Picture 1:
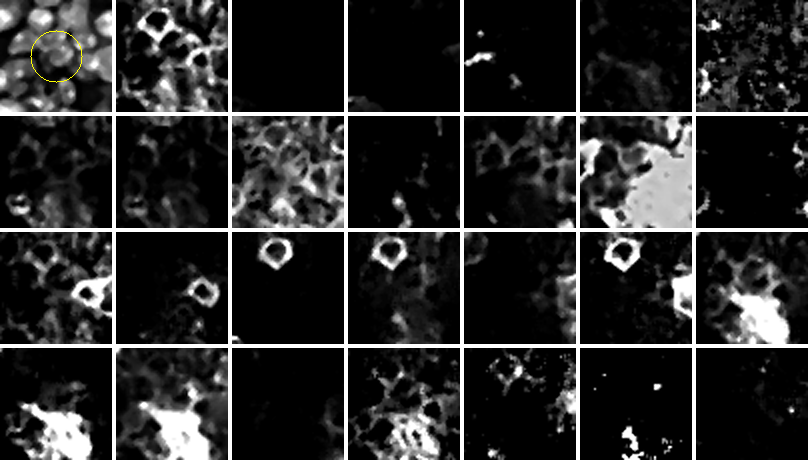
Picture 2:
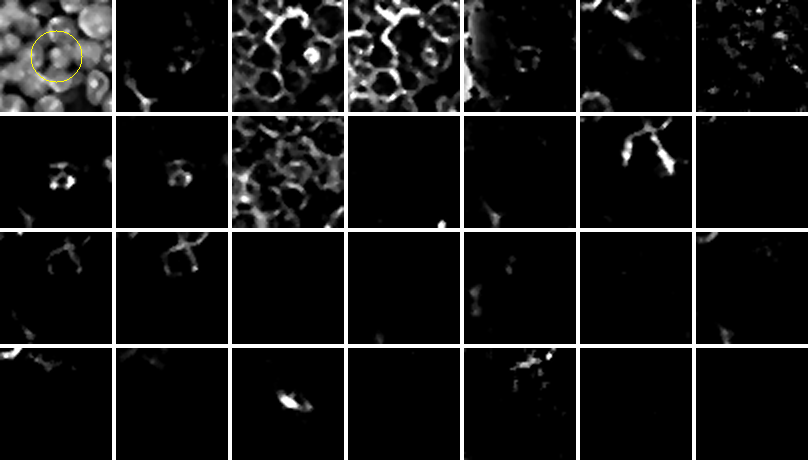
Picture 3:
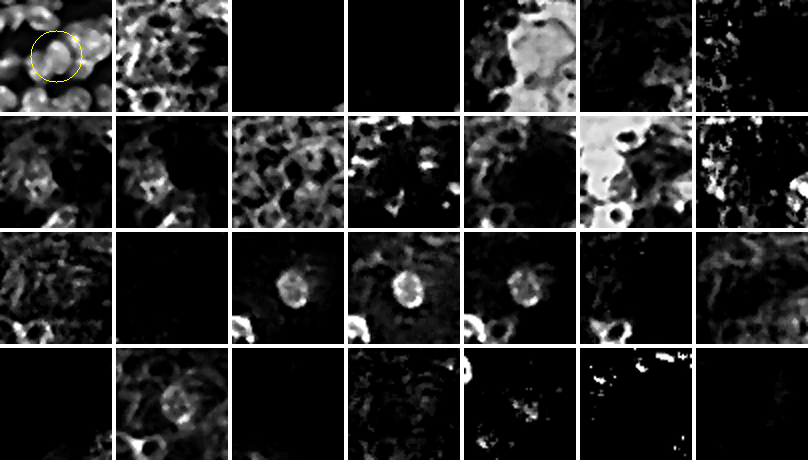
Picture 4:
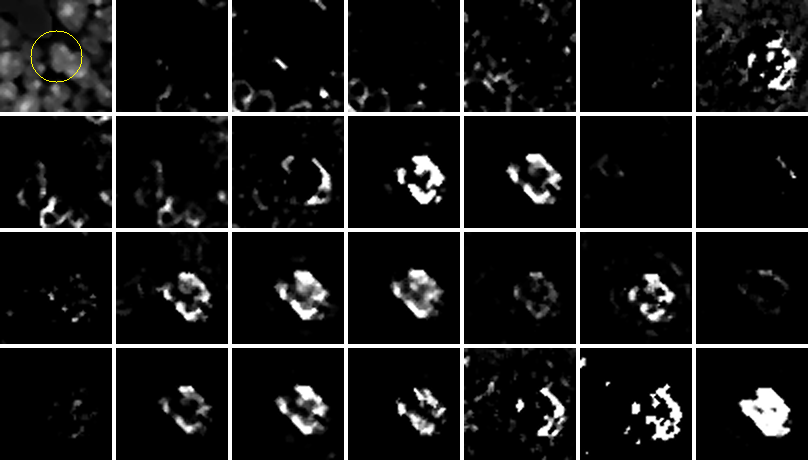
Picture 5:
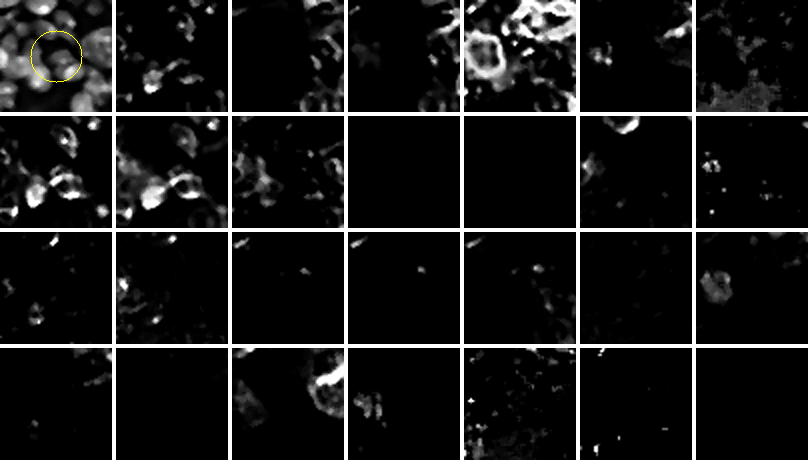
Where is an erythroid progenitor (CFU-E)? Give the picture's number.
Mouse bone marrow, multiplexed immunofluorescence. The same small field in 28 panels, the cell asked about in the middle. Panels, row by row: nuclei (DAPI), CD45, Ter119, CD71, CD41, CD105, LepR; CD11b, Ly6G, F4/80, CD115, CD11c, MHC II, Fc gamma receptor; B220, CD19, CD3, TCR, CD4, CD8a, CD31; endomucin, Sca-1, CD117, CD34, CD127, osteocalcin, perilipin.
2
